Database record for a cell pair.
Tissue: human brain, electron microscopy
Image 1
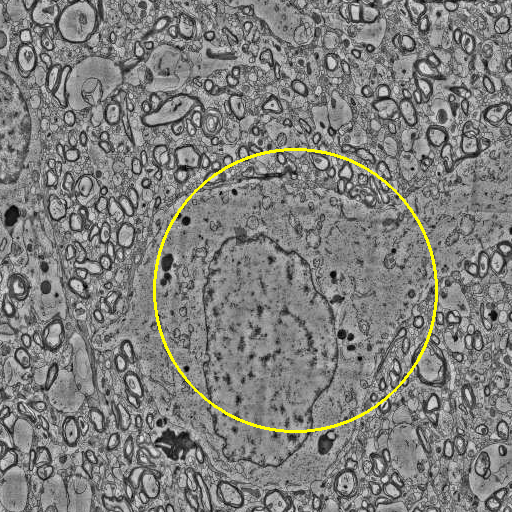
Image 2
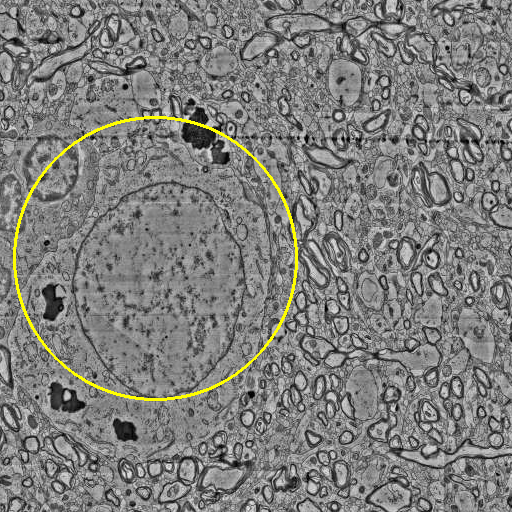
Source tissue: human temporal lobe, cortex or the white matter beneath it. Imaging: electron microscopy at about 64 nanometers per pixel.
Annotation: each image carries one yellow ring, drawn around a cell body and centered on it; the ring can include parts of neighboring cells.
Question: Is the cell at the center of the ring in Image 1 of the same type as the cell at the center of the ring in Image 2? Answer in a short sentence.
Yes, the cells are of the same type.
